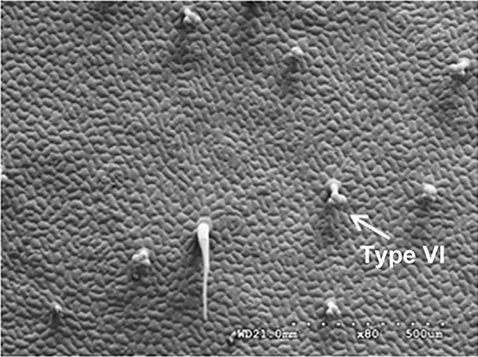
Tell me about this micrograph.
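Leaflet epidermis seen from above, a field of small, closely fitted pavement cells with polygonal to wavy outlines. Short-stalked glandular trichomes with lobed heads stand scattered and rather sparse over the surface. A single long, tapering, upright hair stands near the middle of the field. Wide stretches of the surface carry no outgrowths at all.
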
